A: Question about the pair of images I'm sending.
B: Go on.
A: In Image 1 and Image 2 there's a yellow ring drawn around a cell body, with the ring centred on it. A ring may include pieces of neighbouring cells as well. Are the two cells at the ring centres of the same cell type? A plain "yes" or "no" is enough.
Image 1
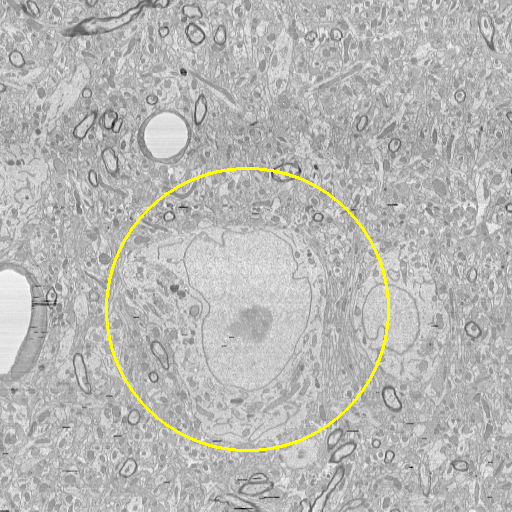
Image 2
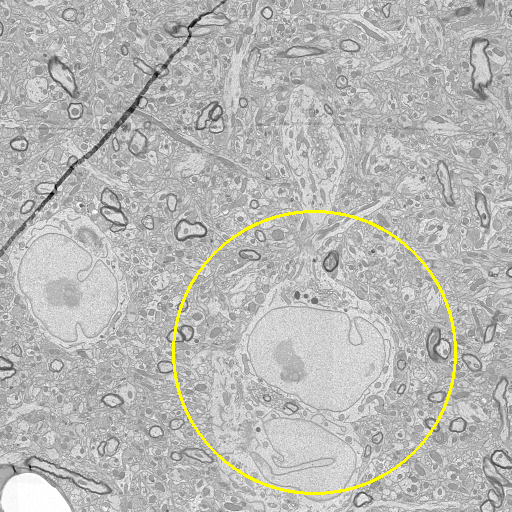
yes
